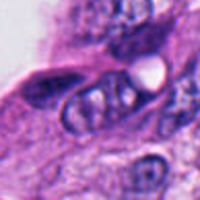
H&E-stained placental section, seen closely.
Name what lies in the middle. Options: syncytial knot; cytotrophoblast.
cytotrophoblast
